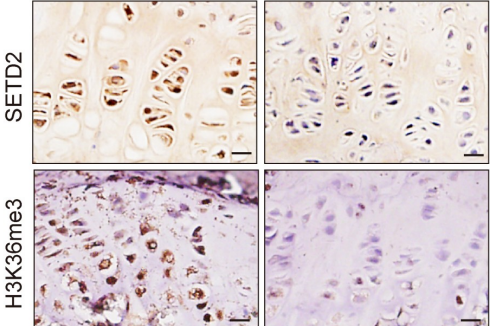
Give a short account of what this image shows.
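Four views of growth plate cartilage show chondrocytes lying in lacunae within a pale, glassy matrix. The cells are rounded to flattened and sit singly or in small stacked groups. In the two left images many nuclei are stained dark brown, while in the two right images most nuclei are blue-purple with little or no brown. The surrounding matrix stays pale throughout.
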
